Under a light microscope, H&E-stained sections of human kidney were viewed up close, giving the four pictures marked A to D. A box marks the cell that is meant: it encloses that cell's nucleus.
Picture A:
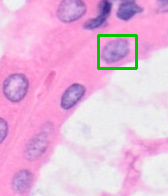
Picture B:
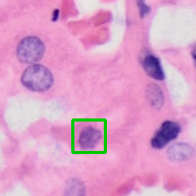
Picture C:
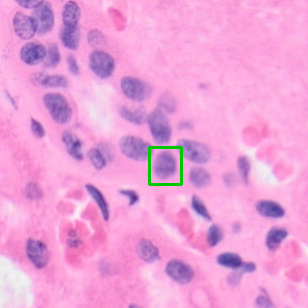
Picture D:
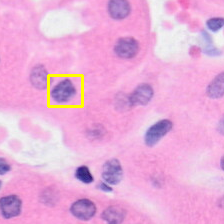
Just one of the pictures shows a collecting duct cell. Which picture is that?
C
